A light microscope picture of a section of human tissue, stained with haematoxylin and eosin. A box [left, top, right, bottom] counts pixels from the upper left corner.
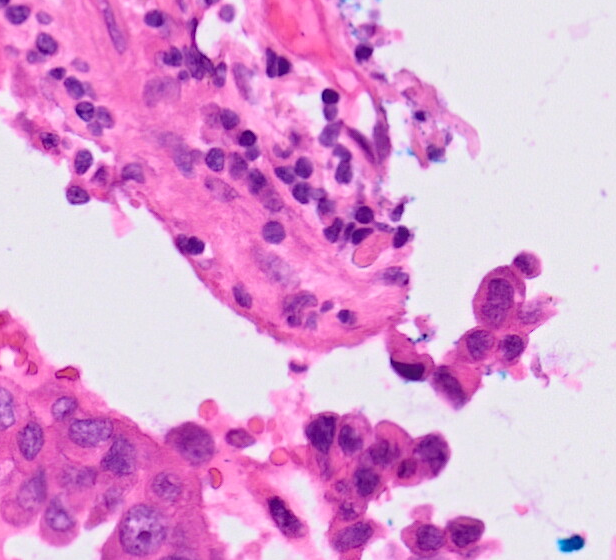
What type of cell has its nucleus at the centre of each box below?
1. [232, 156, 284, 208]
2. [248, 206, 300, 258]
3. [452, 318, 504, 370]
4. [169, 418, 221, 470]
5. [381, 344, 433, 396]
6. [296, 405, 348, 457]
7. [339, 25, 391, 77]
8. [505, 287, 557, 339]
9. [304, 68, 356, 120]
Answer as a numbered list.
1. plasma cell
2. lymphocyte
3. carcinoma cell
4. carcinoma cell
5. carcinoma cell
6. carcinoma cell
7. lymphocyte
8. carcinoma cell
9. lymphocyte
